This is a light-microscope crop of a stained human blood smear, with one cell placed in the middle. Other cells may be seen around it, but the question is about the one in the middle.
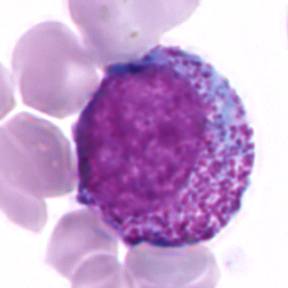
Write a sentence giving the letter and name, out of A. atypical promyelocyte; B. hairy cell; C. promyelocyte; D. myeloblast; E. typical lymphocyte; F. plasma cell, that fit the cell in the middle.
The cell occupying the centre is a promyelocyte; option C is thus the correct choice.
